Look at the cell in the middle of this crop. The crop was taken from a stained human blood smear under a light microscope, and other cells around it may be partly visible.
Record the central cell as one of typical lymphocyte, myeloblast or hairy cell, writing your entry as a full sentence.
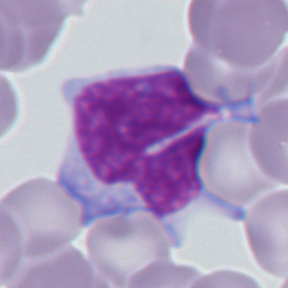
On this slide crop, the central cell is a typical lymphocyte.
